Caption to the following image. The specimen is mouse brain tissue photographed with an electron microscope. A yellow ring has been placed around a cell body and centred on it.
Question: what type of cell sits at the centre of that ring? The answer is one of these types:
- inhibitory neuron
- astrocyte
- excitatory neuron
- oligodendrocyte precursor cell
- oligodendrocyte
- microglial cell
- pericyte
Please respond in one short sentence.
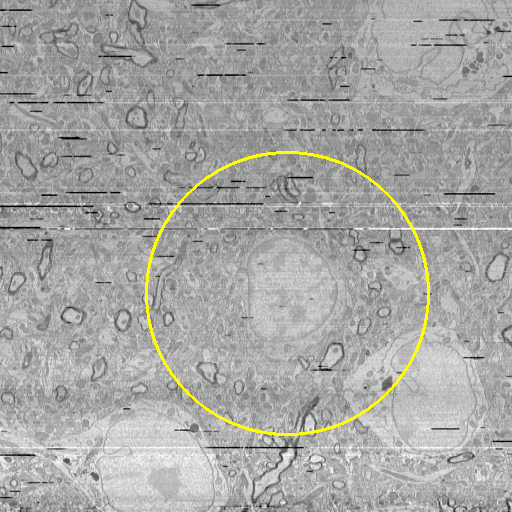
The ring surrounds the cell body of an oligodendrocyte.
